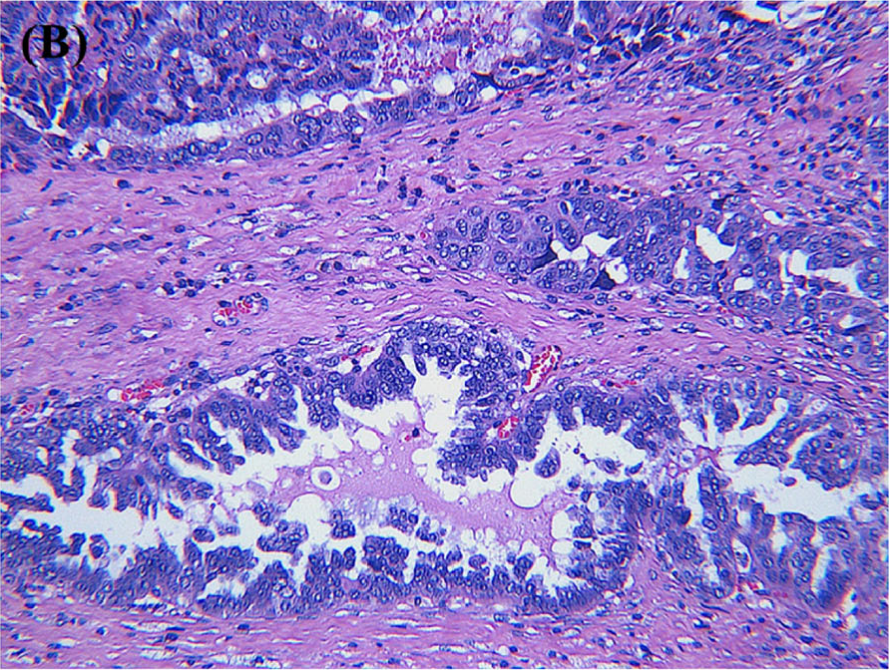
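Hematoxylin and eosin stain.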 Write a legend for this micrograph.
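This is a tumor made of glandular and papillary structures lined by crowded columnar cells with enlarged nuclei, separated by bands of pink fibrous stroma. Lymphocytes, small cells with dark round nuclei, are only scattered thinly in the stroma, and small vessels with red blood cells are seen between the tumor glands.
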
